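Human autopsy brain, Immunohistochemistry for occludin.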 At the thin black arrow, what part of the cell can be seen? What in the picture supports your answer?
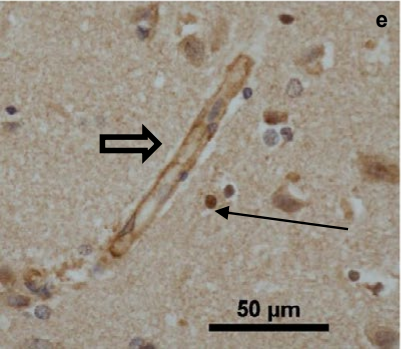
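Glial nucleus. The thin arrow points to a small round nucleus stained brown. Nearby small round nuclei are blue-grey, not brown. The nucleus is much smaller than the neighbouring neuronal cell bodies.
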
